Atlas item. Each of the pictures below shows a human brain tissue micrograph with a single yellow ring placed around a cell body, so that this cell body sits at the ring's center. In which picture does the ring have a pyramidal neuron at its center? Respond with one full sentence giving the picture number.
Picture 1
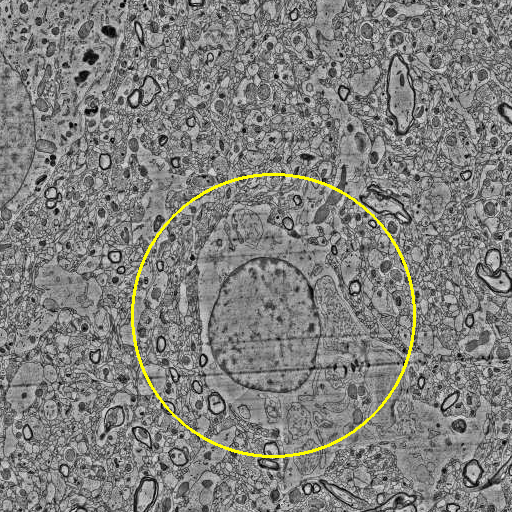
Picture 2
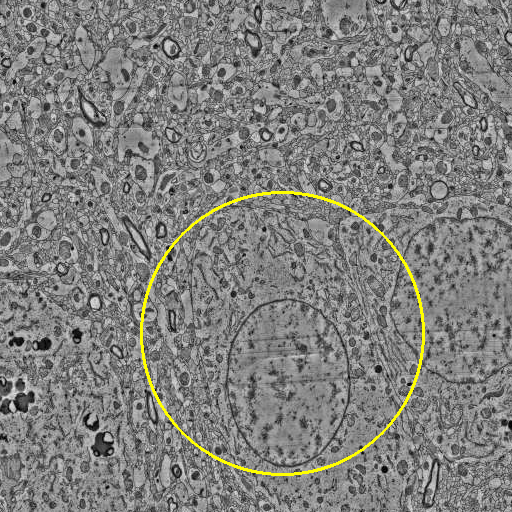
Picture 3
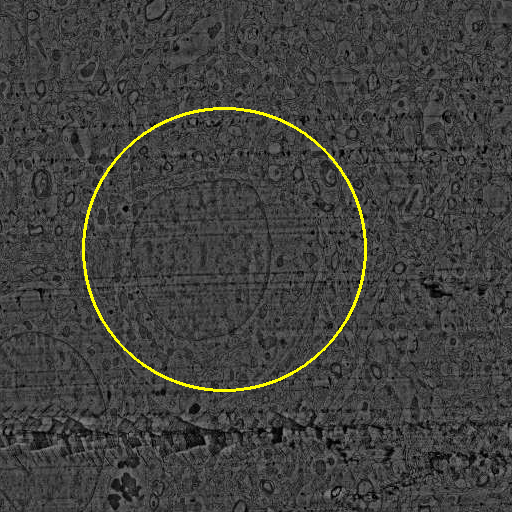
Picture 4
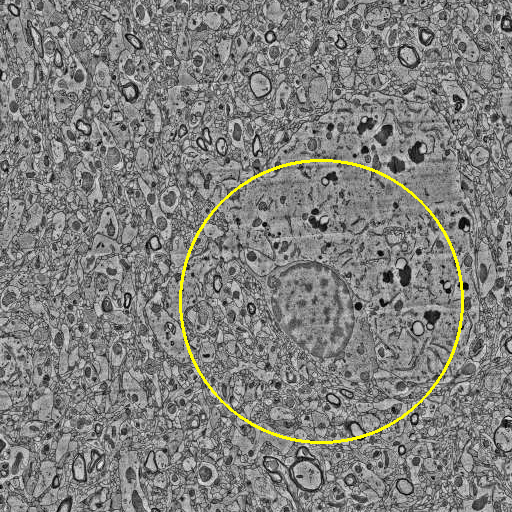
The cell at the ring's center that fits lies in picture 2.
